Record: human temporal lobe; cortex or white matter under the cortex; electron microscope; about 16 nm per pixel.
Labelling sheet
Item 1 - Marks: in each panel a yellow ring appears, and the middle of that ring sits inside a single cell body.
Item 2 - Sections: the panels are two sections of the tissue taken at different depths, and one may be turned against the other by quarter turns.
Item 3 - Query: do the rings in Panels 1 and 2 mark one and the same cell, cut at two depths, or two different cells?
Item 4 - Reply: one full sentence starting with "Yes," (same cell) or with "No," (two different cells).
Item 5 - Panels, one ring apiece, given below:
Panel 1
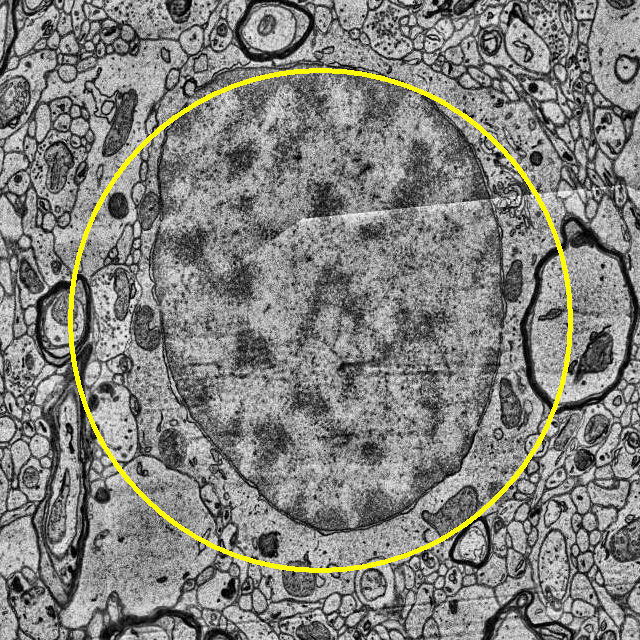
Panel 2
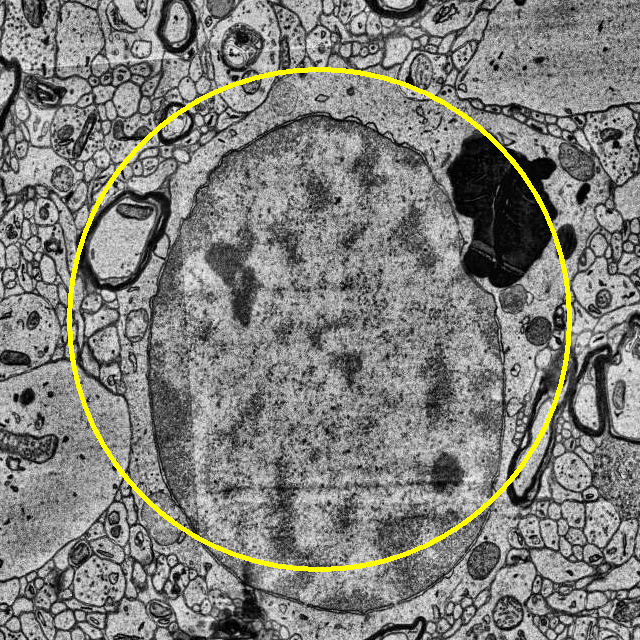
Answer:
Yes, these two rings point to one cell rather than two.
